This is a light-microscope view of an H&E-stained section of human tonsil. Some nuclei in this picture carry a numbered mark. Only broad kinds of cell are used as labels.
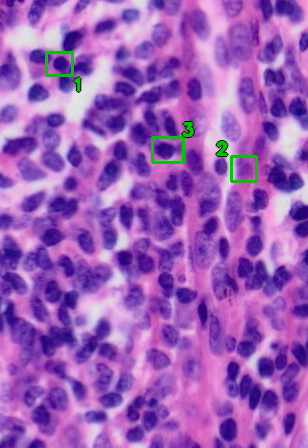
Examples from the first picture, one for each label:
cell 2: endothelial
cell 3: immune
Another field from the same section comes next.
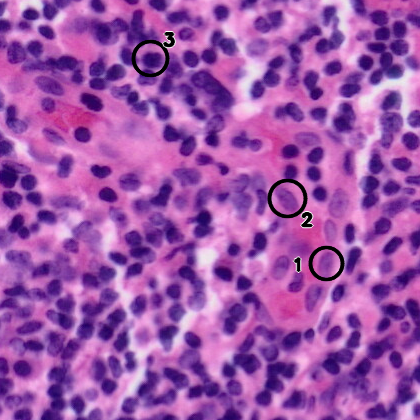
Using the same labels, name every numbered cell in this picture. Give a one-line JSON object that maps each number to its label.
{"1": "endothelial", "2": "endothelial", "3": "immune"}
